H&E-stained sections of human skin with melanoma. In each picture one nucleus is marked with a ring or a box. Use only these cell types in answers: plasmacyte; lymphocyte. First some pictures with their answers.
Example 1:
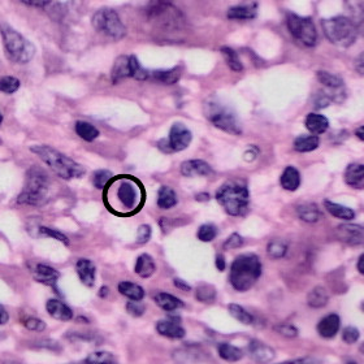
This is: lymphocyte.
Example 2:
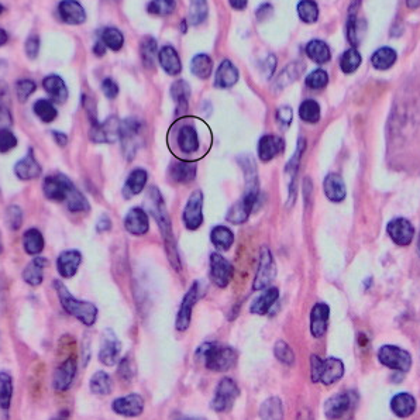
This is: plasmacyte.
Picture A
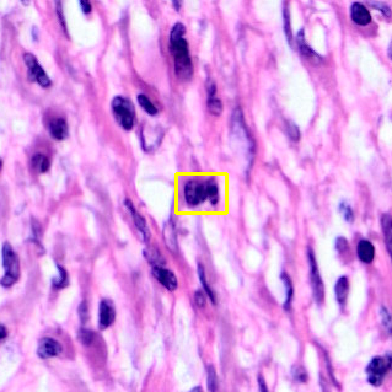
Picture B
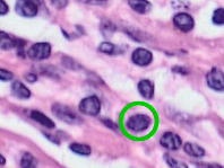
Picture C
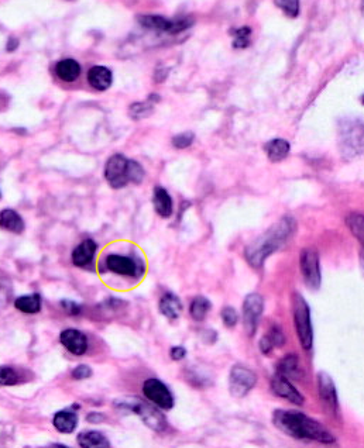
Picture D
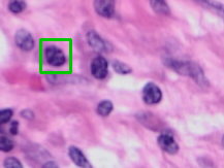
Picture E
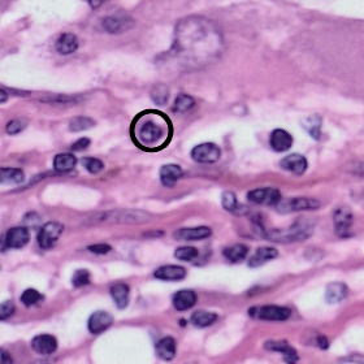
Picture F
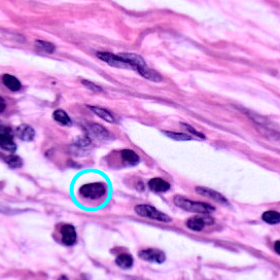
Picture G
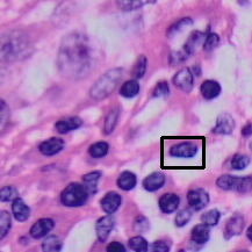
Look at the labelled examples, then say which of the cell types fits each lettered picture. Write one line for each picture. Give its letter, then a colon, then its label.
A: plasmacyte.
B: lymphocyte.
C: plasmacyte.
D: plasmacyte.
E: plasmacyte.
F: plasmacyte.
G: lymphocyte.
